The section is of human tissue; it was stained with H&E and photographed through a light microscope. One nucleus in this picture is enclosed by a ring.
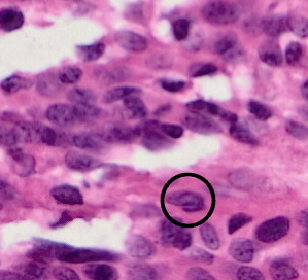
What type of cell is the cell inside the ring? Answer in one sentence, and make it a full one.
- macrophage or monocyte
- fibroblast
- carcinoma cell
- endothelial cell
In terms of identity, the cell inside the ring is an endothelial cell.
